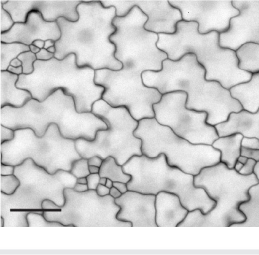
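Set among them are a few small patches of much smaller, angular cells, divided by straight walls into tight clusters; these look like small groups of young stomatal lineage cells rather than mature pairs of guard cells with pores. The clusters are few and widely separated, with broad stretches of pavement cells between them.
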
